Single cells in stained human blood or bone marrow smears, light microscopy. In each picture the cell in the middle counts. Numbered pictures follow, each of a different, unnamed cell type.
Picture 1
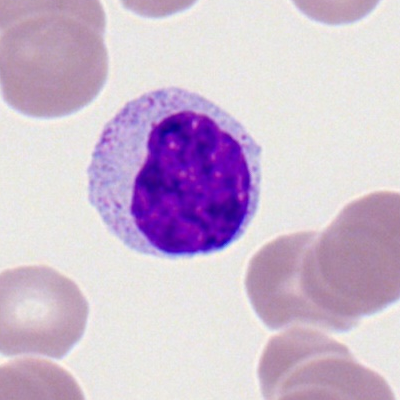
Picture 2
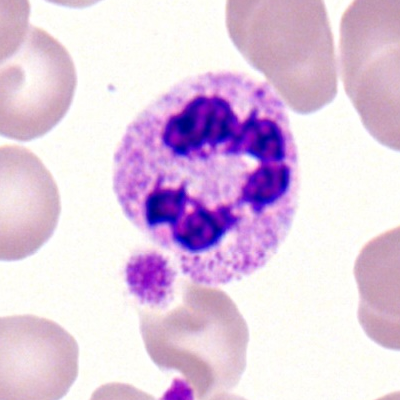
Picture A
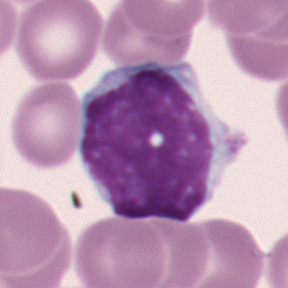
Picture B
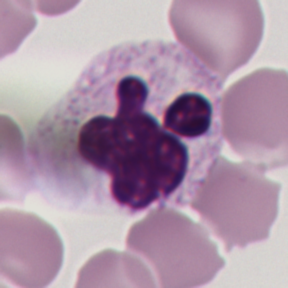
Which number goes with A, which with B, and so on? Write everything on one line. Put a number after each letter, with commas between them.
A 1, B 2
